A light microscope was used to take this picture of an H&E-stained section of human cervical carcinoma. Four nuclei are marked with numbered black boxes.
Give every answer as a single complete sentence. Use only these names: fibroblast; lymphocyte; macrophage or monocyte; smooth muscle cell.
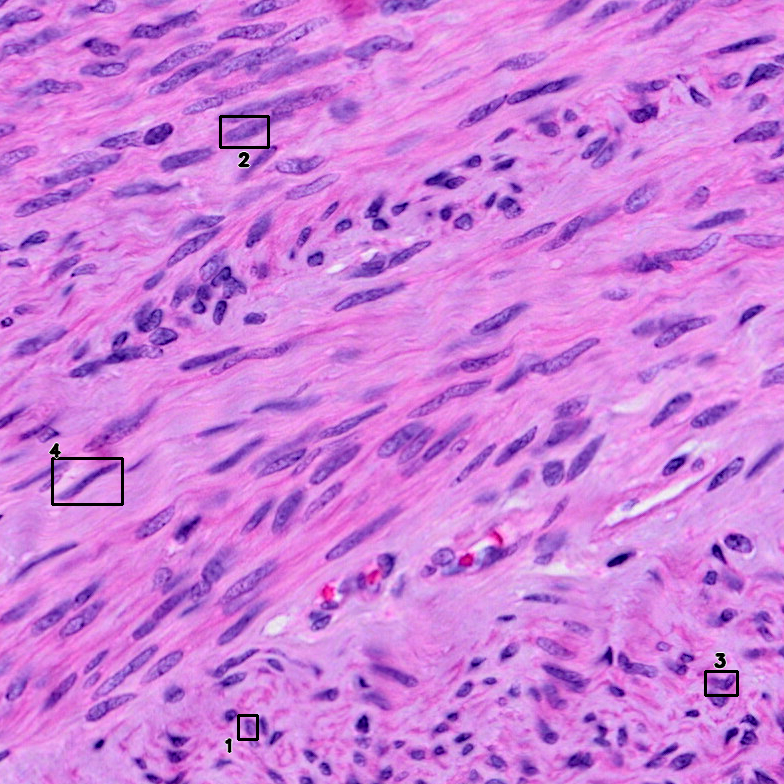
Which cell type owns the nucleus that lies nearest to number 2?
It is a smooth muscle cell whose nucleus is nearest to number 2.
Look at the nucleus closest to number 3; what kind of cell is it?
The cell nearest to number 3 is a smooth muscle cell.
